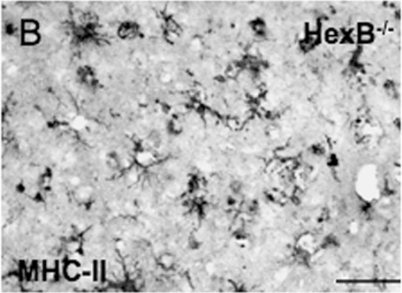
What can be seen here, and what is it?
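Scattered over a pale, somewhat vacuolated background of brain tissue are dark, compact cells with short branching processes. Some appear as dense dark clusters, others have a more ramified outline, and rounded clear spaces lie between them.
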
